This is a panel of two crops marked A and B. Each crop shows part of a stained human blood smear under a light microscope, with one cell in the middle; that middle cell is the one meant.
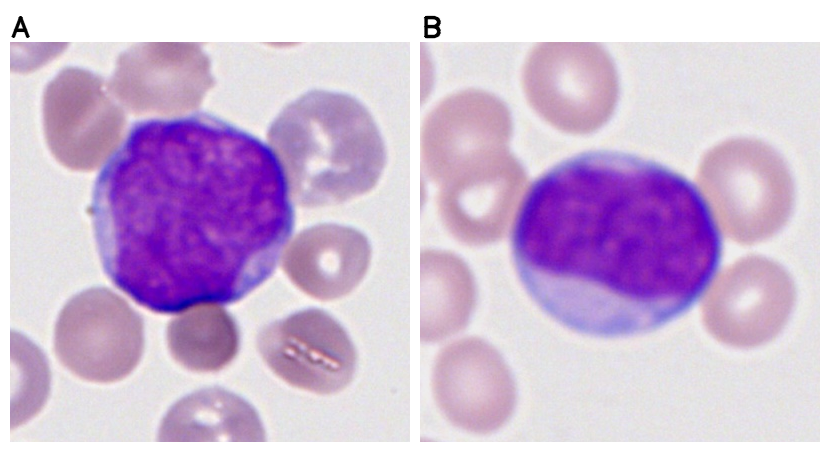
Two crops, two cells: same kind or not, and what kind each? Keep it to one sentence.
Yes, that holds, both crops show myeloblasts.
